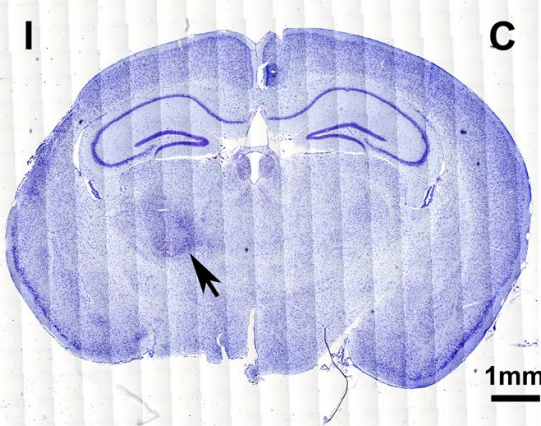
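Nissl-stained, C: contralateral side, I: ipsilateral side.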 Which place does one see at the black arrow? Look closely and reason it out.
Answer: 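Thalamus. The arrow points to a darkly stained patch deep in one hemisphere below the hippocampus. The patch lies beside the midline, ventral to the hippocampal formation.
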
